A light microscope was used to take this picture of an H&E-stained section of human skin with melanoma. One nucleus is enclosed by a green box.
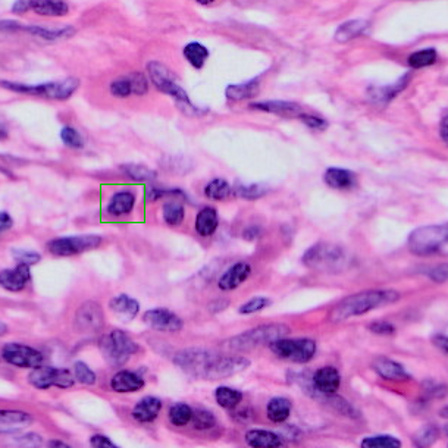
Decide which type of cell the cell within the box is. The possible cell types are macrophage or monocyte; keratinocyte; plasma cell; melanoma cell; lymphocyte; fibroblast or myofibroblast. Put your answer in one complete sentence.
Typologically, the cell within the box is a plasma cell in this section.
